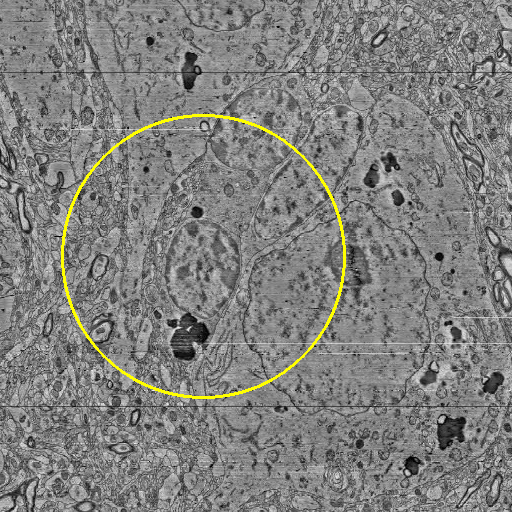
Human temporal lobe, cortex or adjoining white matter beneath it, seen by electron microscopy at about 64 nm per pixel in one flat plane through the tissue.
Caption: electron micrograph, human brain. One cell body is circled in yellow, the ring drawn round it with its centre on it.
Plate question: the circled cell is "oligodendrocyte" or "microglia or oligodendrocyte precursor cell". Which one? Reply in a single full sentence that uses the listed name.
The yellow ring on the plate is centred on an oligodendrocyte, going by the listed names.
